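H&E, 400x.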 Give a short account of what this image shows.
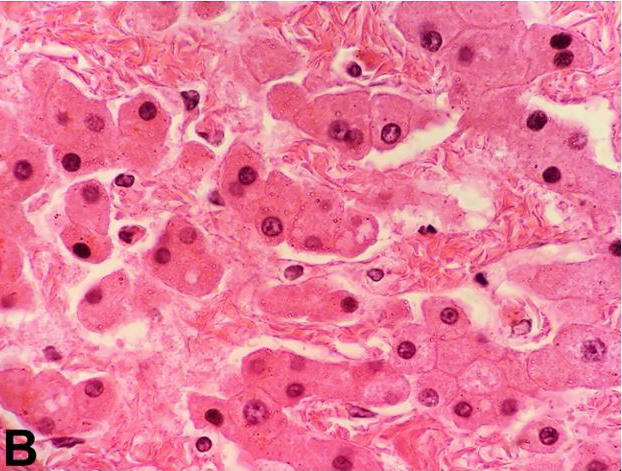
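This is liver, with large polygonal hepatocytes and sickled red cells in the sinusoids between them. The hepatocytes have ample pink, finely granular cytoplasm and round central nuclei with distinct nucleoli, and some cells have two nuclei. The sinusoids between the cords are filled with pale pink, elongated, slightly curved red cells lying in streams and tangles. The cords look broken up and irregularly spaced instead of forming orderly plates, and there are small clefts between cells. Occasional small dark nuclei of lining cells sit along the sinusoids.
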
